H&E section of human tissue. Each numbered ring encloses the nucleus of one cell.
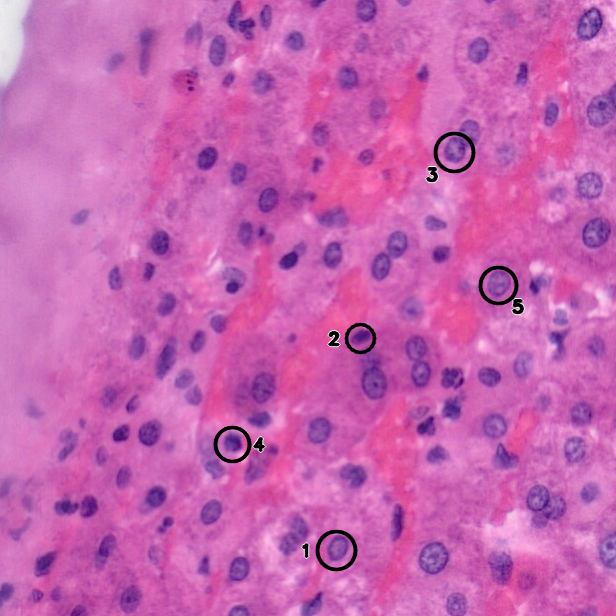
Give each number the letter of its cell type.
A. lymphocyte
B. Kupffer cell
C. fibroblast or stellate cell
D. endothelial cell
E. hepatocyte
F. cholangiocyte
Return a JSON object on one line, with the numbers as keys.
{"1": "E", "2": "C", "3": "E", "4": "A", "5": "E"}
